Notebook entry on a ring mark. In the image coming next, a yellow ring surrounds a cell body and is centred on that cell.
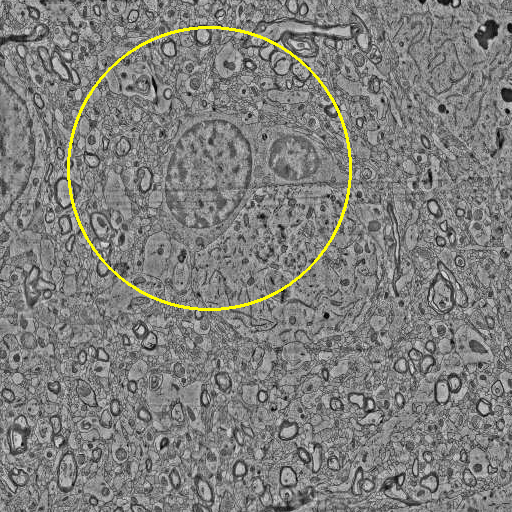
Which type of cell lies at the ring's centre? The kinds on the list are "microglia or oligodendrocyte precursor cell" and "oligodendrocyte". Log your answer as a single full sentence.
Centred in the yellow ring is an oligodendrocyte, the cell recorded for this image.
